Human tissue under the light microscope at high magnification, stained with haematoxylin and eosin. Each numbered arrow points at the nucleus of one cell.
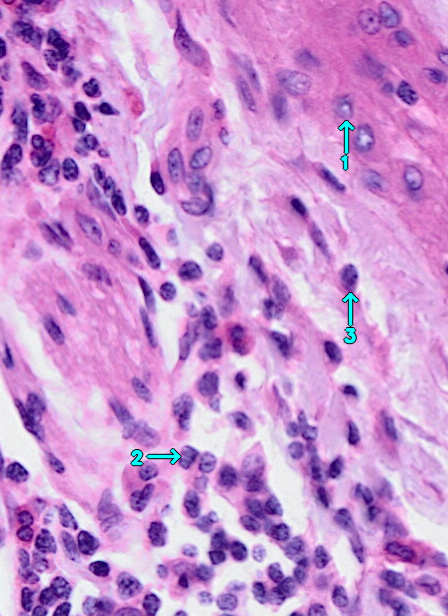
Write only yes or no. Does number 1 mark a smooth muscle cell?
yes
